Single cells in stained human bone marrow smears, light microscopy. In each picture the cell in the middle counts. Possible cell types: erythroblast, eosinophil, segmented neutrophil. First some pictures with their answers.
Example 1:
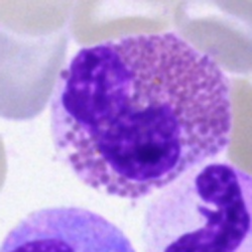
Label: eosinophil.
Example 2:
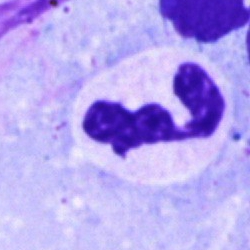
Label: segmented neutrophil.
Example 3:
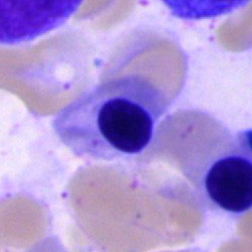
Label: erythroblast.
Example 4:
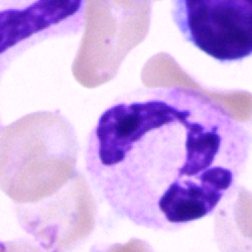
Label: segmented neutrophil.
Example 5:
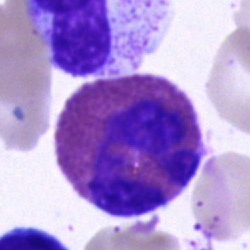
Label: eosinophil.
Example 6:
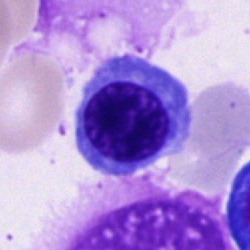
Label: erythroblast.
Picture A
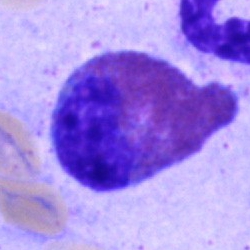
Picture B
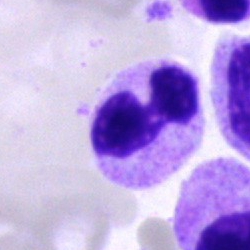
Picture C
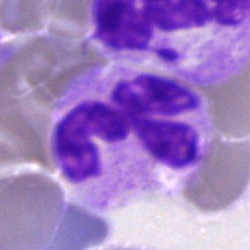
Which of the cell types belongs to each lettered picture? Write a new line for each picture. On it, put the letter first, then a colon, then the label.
A: eosinophil.
B: segmented neutrophil.
C: segmented neutrophil.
